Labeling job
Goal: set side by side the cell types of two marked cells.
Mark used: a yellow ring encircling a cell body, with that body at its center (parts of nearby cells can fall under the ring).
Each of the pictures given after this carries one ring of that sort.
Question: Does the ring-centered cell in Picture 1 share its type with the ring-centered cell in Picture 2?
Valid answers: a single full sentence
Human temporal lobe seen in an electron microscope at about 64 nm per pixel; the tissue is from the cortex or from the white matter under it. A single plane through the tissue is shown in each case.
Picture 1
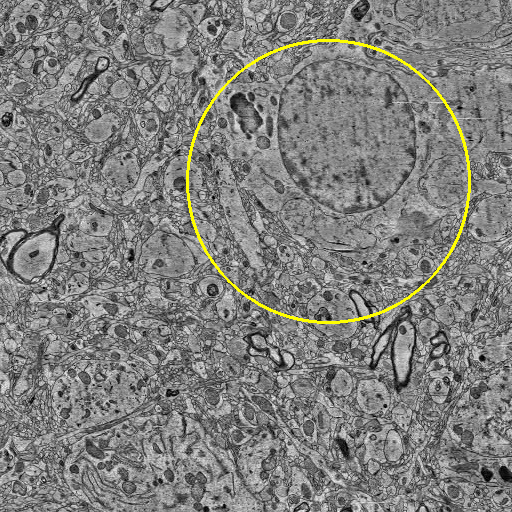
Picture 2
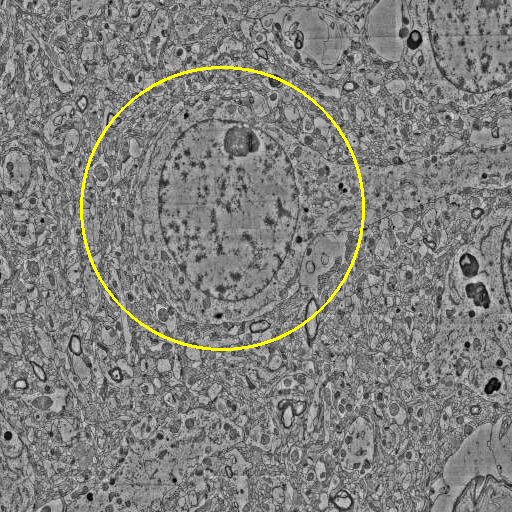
No, in Pictures 1 and 2 the cells at the ring centers have separate types.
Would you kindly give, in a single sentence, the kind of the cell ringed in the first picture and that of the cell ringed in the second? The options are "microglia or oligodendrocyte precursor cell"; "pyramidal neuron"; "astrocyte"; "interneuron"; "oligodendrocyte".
The second cell is a pyramidal neuron, and the first cell is an astrocyte.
